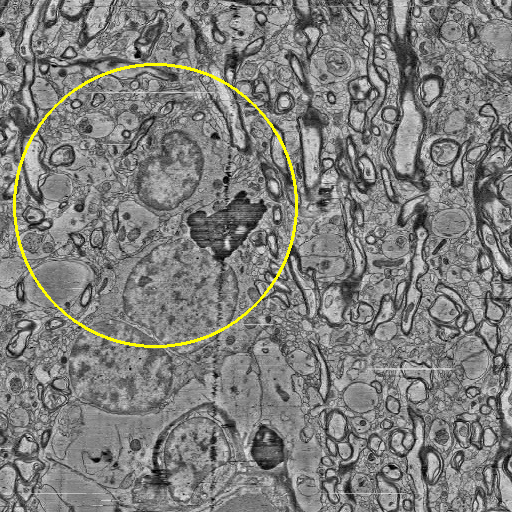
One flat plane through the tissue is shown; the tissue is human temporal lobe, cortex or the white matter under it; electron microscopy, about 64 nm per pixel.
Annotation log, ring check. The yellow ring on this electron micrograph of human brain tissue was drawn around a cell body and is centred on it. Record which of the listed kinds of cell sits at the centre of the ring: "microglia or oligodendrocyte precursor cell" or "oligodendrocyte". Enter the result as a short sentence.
The cell at the centre of the ring is an oligodendrocyte.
